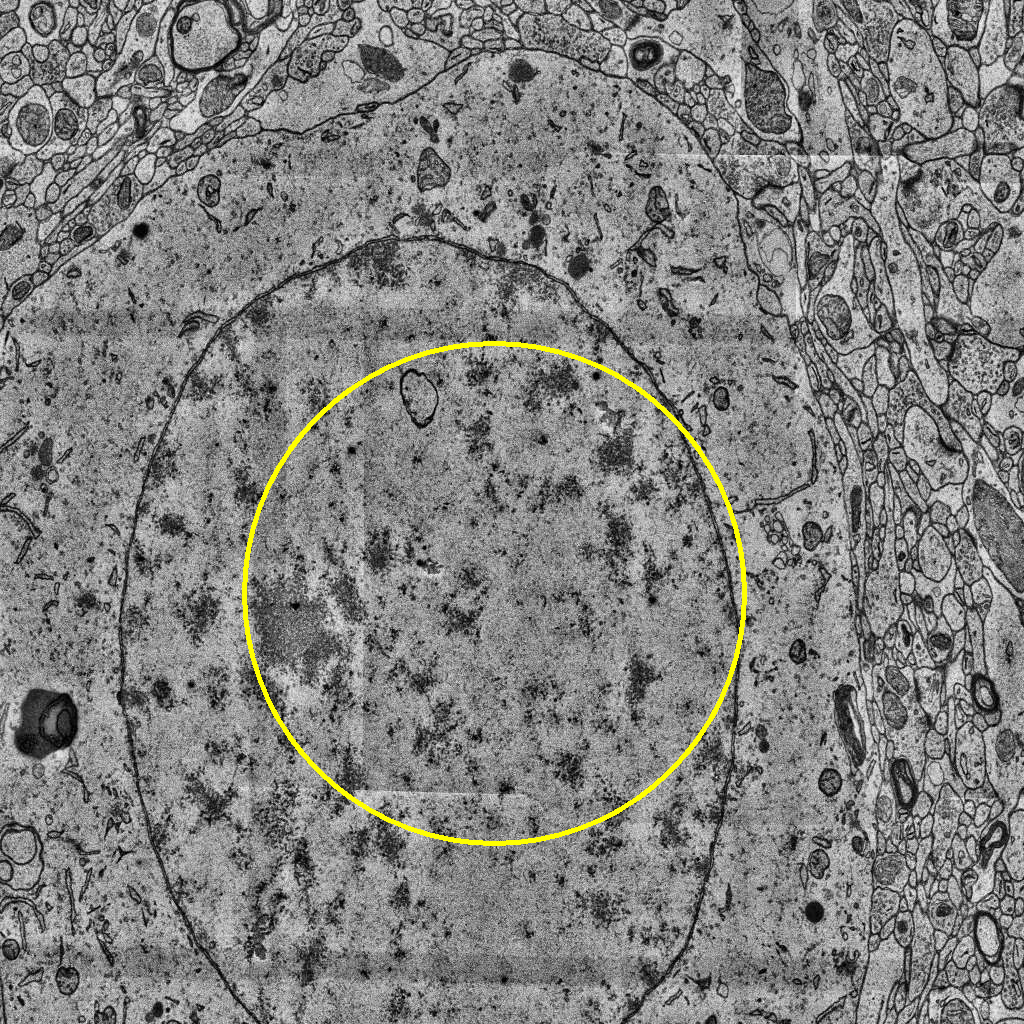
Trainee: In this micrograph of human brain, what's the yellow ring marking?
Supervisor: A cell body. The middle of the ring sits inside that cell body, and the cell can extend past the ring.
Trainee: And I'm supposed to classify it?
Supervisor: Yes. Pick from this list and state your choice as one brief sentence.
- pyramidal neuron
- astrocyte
The cell at the ring's center is a pyramidal neuron.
